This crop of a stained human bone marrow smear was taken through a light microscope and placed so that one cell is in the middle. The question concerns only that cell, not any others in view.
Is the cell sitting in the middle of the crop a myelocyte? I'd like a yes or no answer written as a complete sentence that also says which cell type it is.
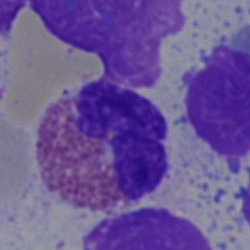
No, looking at the central cell, it is an eosinophil rather than a myelocyte.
